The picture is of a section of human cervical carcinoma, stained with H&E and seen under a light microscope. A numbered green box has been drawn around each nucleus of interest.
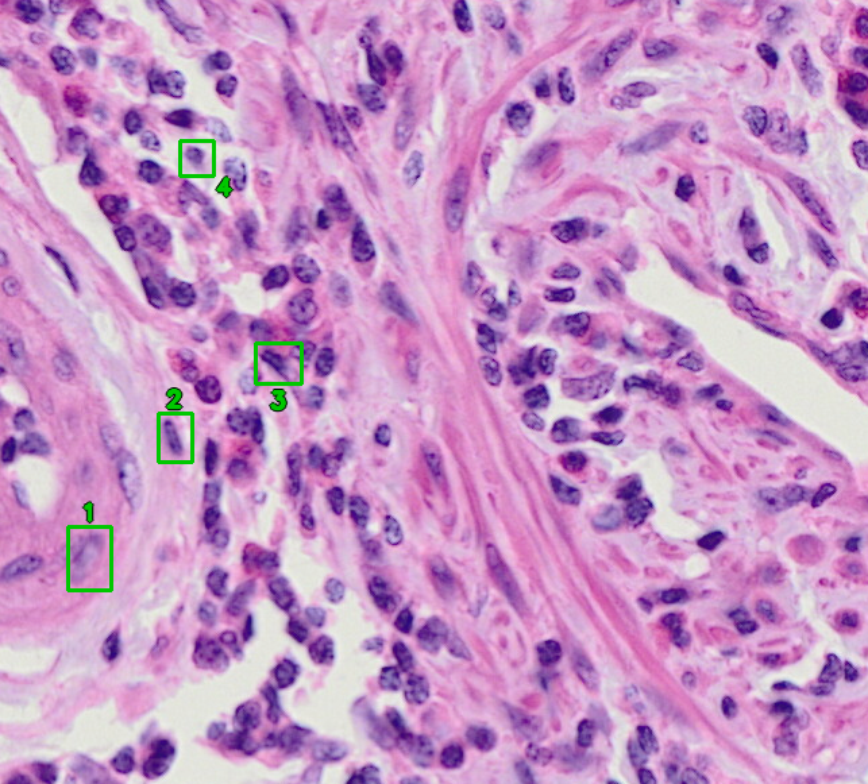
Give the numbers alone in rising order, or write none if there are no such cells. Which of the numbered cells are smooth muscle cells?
1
